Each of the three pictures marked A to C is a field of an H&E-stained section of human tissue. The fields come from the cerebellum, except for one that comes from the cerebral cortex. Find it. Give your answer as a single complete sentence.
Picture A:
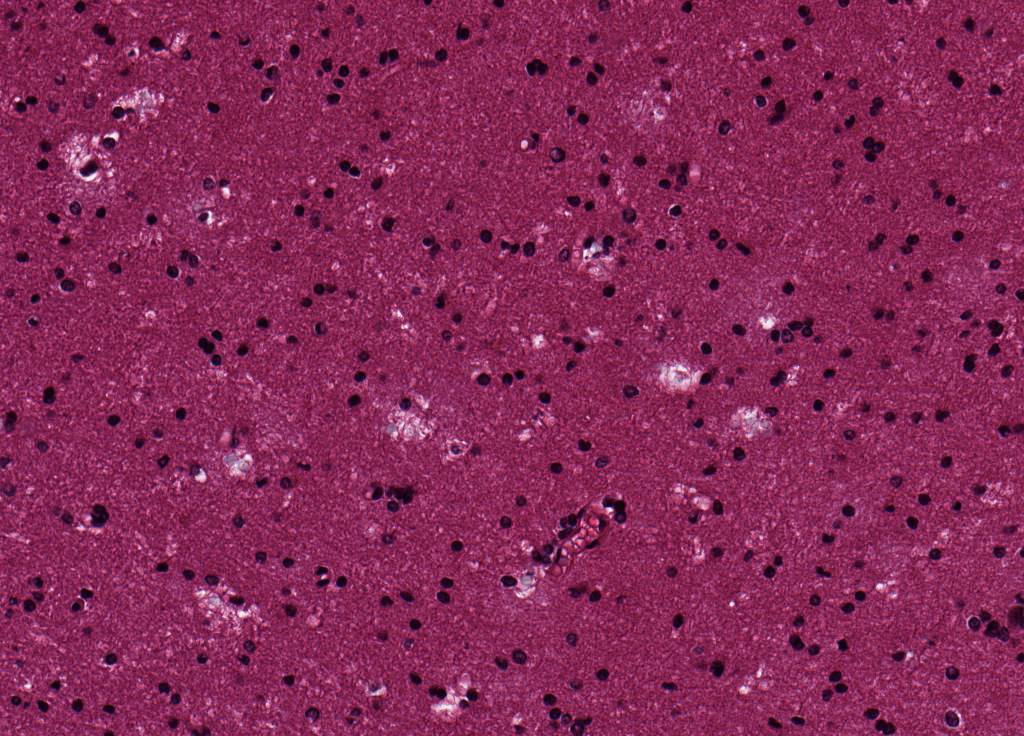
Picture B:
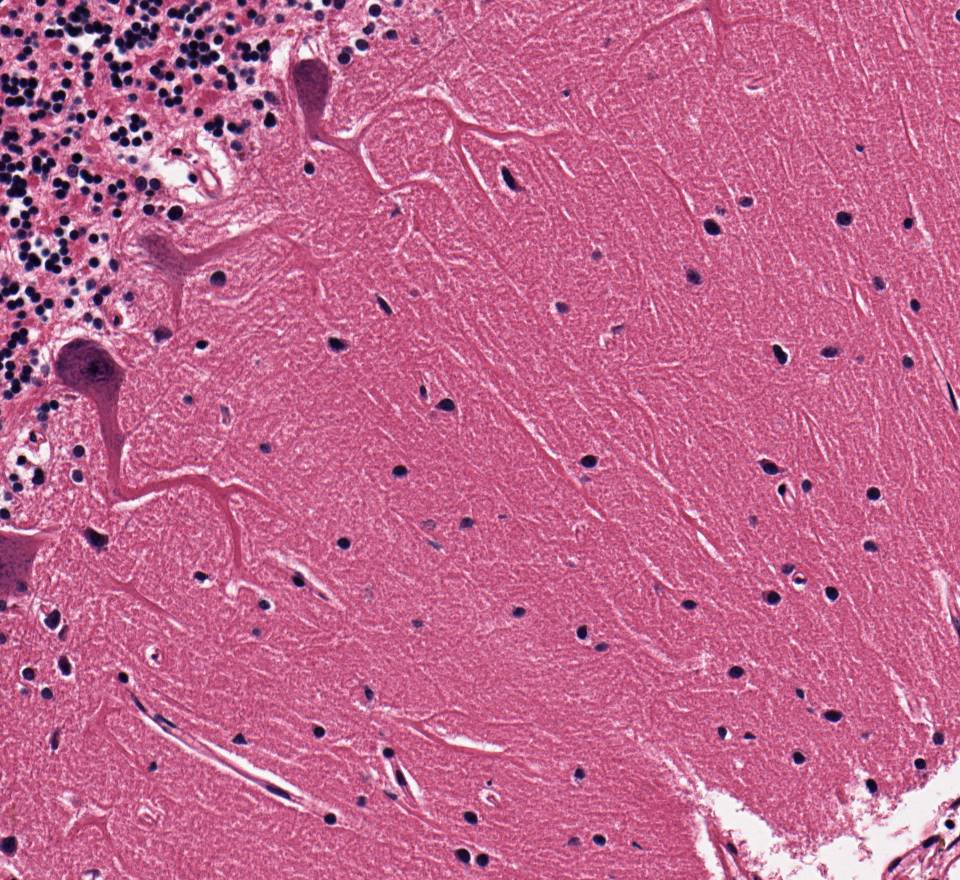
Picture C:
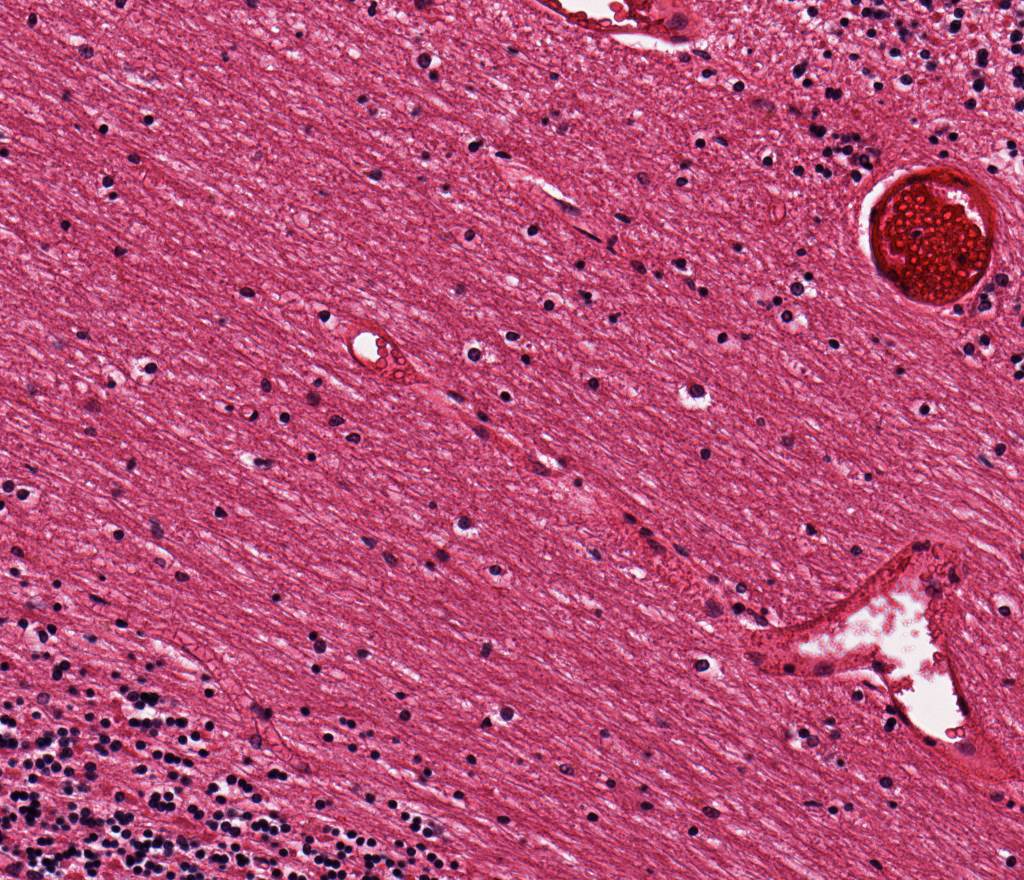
Picture A is the field that comes from the cerebral cortex.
